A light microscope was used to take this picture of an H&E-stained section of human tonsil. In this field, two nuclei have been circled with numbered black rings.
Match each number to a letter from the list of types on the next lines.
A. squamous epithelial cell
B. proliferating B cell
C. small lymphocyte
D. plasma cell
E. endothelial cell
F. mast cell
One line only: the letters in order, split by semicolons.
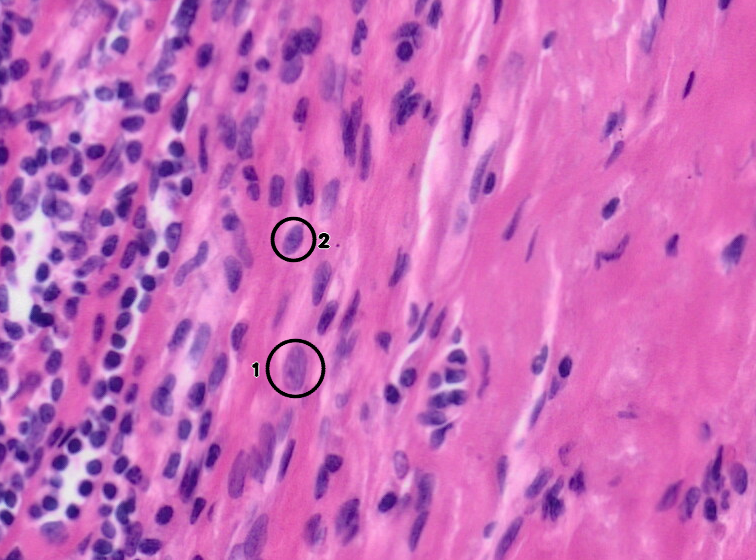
E; F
